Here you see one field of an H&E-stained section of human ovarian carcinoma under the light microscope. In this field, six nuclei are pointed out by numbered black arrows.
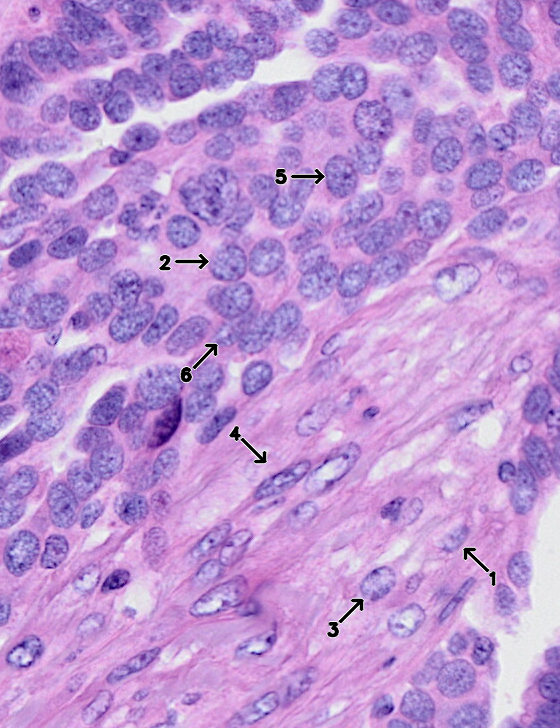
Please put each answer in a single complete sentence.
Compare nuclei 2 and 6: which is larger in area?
Of the two, number 2 is bigger and takes up about 2 times the area of number 6.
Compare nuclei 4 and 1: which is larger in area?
Nucleus 4 is the larger one, covering about 2 times the area of nucleus 1.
